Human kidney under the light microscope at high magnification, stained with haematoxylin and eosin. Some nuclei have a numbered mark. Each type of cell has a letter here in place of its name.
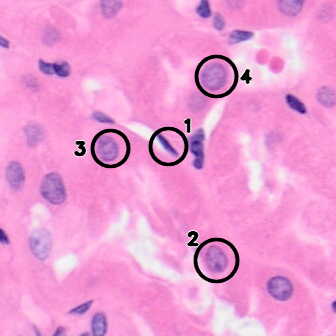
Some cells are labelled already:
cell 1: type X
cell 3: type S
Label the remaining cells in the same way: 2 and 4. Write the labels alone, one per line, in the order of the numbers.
type S
type S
